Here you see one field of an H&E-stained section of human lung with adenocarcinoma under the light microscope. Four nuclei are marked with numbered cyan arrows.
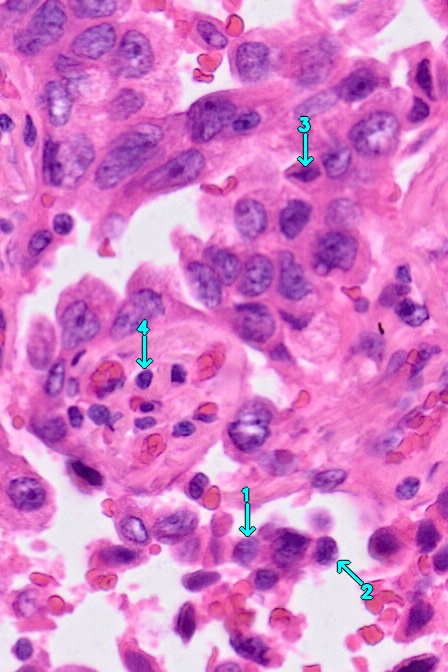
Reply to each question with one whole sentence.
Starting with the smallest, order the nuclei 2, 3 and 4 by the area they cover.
The order from the smallest nucleus to the largest is 4, 3, 2.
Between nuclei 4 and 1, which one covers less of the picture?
The smaller nucleus is 4, and 1 covers roughly 2 times its area.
